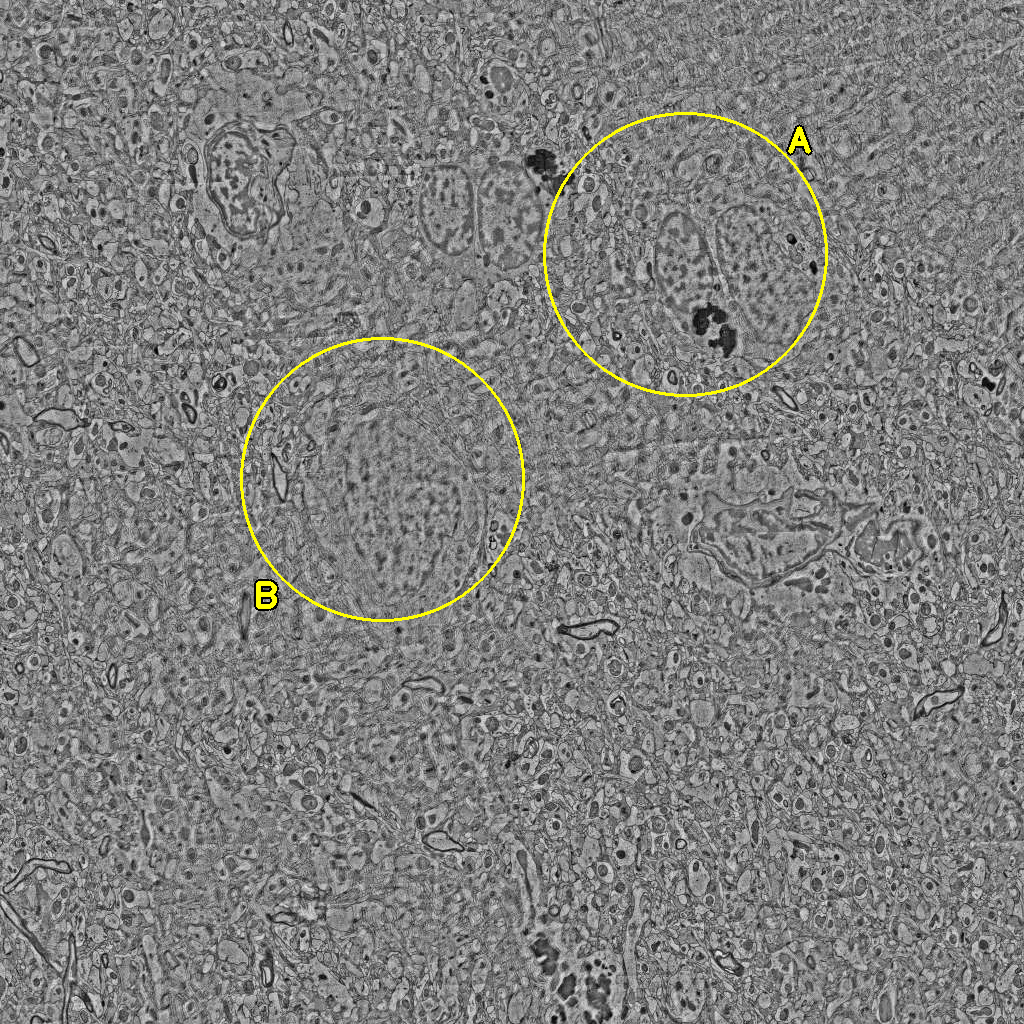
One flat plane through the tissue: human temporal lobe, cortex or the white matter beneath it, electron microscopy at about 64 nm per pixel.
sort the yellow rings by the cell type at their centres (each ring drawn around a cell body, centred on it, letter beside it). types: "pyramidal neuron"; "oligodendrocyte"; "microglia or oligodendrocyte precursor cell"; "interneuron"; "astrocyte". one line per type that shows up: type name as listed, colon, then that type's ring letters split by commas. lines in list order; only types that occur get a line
oligodendrocyte: A
interneuron: B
